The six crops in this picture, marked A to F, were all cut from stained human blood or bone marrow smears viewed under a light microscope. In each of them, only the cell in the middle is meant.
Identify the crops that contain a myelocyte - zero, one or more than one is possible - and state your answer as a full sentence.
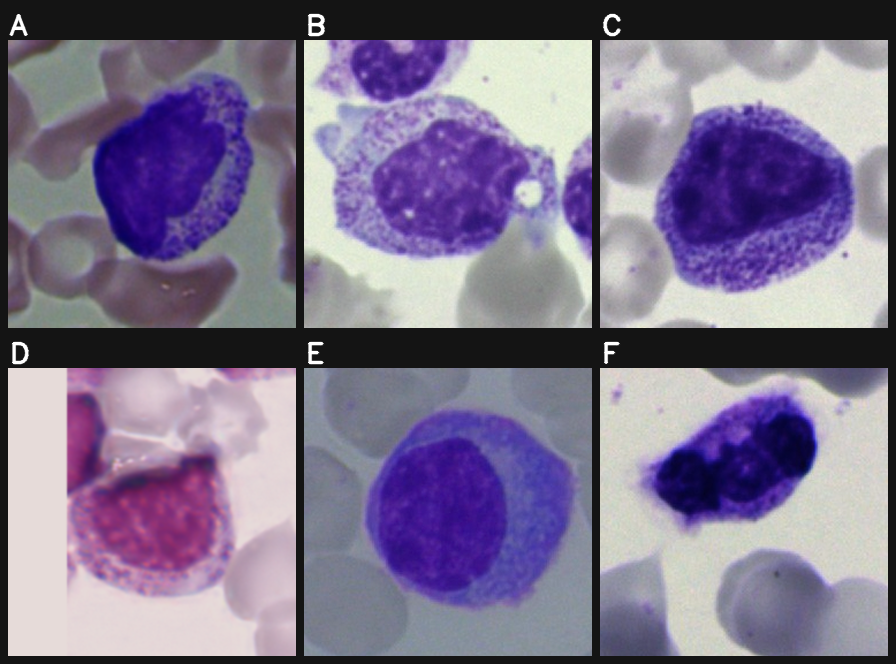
Crops A, B, C and D have myelocytes as the central cells.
